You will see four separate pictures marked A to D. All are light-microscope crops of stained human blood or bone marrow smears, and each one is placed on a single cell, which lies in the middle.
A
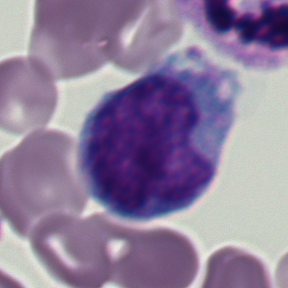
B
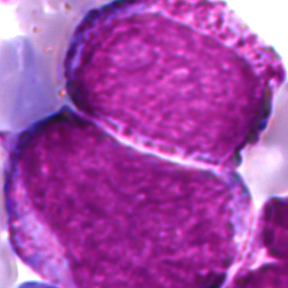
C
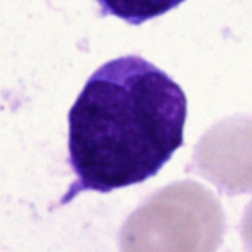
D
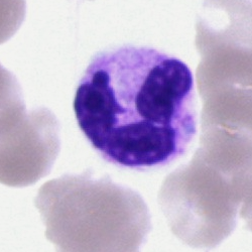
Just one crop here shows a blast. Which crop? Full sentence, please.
Of the cells presented, the one in crop C is a blast.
